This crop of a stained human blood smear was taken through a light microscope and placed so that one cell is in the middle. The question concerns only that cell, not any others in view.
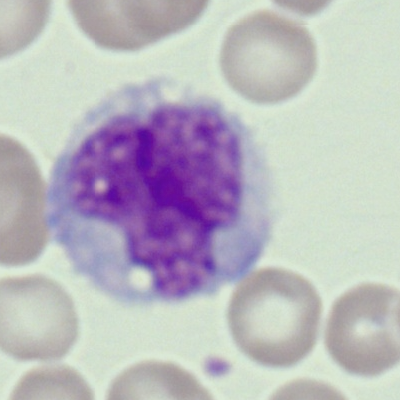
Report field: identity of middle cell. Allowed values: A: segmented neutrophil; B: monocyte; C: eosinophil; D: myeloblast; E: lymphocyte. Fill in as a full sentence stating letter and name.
Well, the cell in the middle is a monocyte, making option B right.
